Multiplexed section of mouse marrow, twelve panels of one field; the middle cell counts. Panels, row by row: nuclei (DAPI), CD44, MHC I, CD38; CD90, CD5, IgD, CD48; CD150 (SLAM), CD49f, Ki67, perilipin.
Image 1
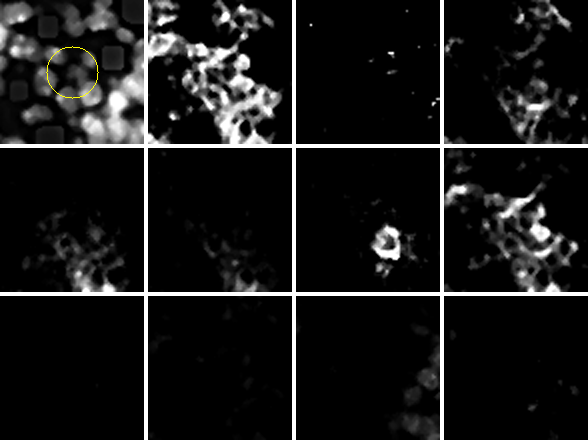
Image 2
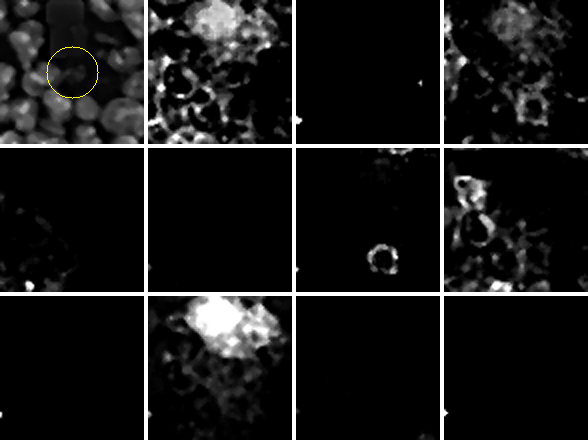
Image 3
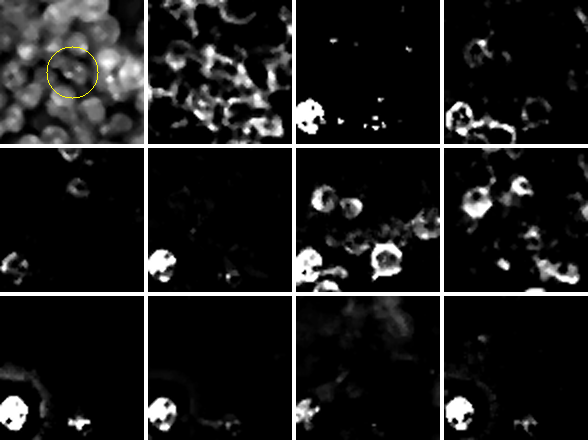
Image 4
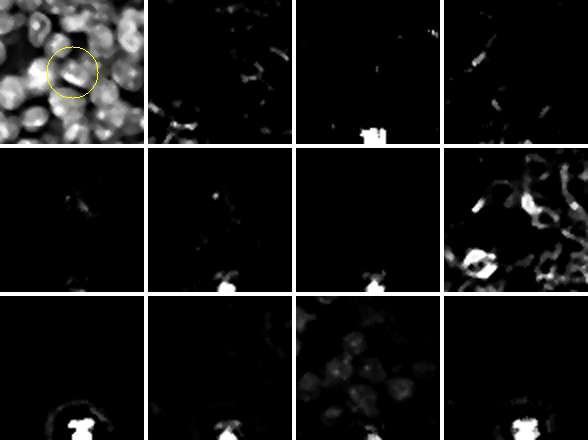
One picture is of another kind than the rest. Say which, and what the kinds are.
Picture 4 shows an erythroblast; the rest show neutrophils.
